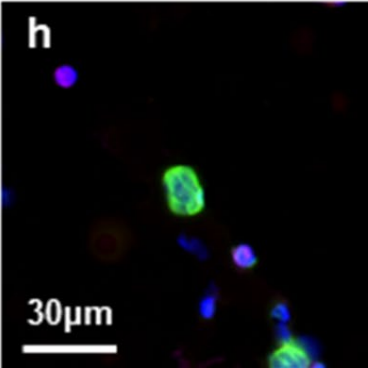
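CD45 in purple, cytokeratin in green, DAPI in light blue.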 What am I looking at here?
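Scattered cells lie on a dark background. Between and around them are several small blue nuclei, some with a purple rim, and a small round purple-blue cell sits at the upper left.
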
